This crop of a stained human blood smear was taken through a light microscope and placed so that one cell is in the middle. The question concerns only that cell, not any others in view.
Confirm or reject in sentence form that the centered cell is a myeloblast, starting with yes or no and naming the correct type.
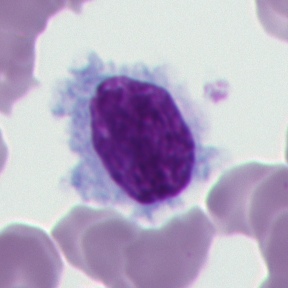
No, the cell in the middle is a hairy cell; it is not a myeloblast.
